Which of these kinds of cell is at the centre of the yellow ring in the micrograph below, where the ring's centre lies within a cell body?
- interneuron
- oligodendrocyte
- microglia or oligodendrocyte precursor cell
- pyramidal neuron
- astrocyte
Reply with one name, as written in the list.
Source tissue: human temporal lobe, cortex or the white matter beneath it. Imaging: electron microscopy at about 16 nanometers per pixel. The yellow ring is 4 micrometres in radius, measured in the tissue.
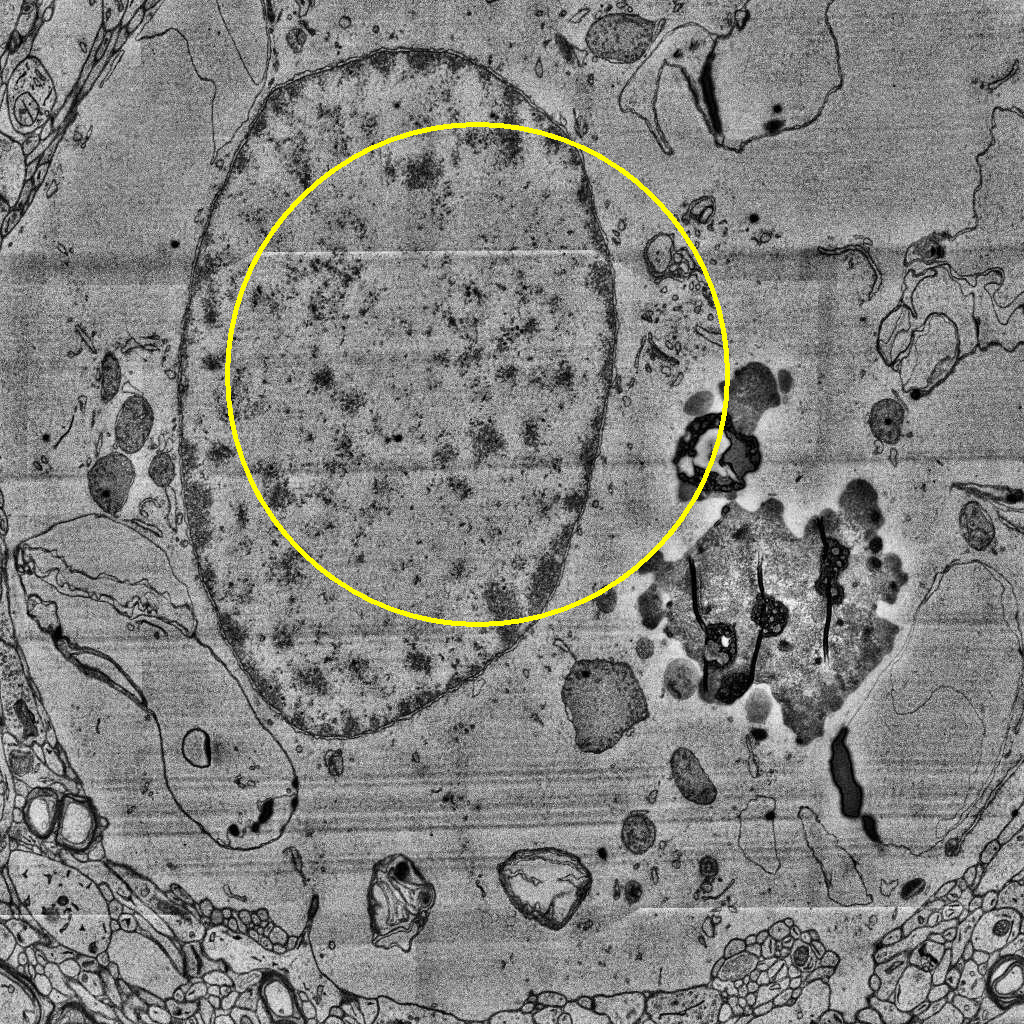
astrocyte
